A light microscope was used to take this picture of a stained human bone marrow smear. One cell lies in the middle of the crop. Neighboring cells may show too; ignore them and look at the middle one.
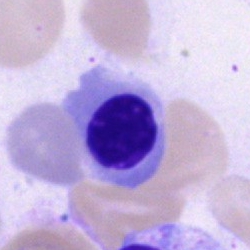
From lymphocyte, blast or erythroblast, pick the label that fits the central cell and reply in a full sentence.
What the crop centres on is an erythroblast.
